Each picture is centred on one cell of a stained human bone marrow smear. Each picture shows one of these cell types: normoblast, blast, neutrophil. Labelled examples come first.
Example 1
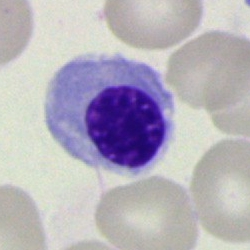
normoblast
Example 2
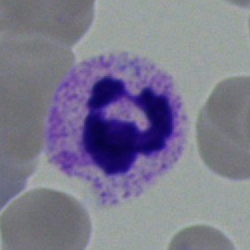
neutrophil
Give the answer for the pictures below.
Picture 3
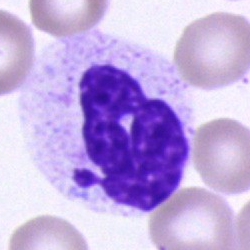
neutrophil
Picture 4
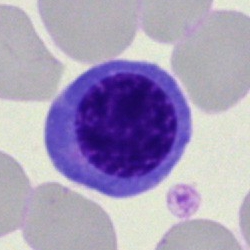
normoblast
